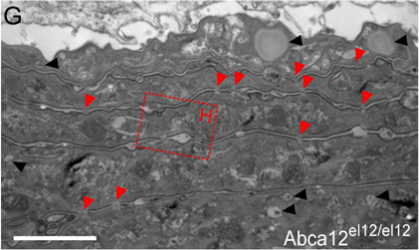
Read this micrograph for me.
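This is the cornified layer of the epidermis, made of many very thin, flattened cells stacked in parallel sheets. Each flattened cell is bordered by a dark, sharply drawn envelope, and the cell interiors hold a mottled grey content. At intervals the envelopes of neighbouring cells come together at small dense contact points, which are retained intercellular junctions, corneodesmosomes, persisting even in the outer layers. Scattered within the sheets are round, smooth, pale grey droplets, which are lipid inclusions.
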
